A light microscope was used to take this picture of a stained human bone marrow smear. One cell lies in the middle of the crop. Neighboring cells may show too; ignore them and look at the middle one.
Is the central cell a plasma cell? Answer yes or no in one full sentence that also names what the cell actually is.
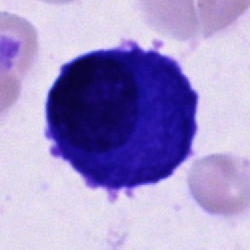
Yes, the centered cell in this field is a plasma cell.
